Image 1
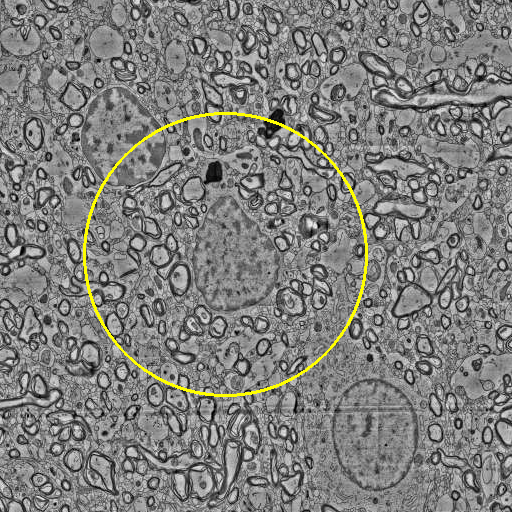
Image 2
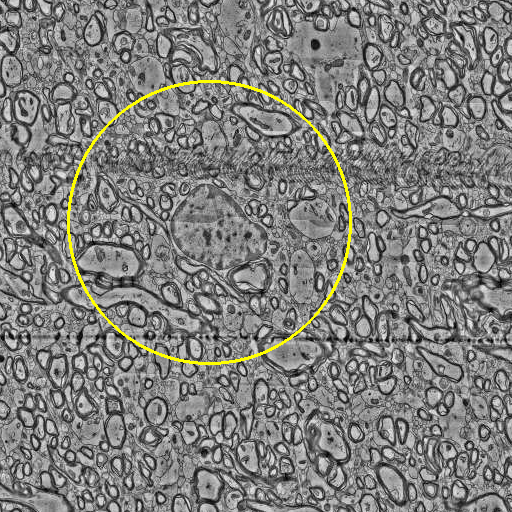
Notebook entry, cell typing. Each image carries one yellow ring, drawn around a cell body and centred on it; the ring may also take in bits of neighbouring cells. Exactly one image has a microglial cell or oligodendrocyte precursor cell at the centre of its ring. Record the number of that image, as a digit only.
2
